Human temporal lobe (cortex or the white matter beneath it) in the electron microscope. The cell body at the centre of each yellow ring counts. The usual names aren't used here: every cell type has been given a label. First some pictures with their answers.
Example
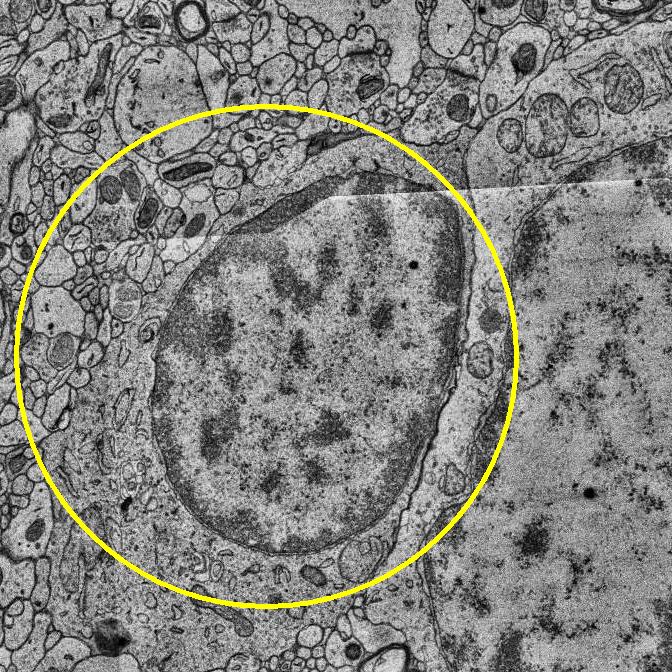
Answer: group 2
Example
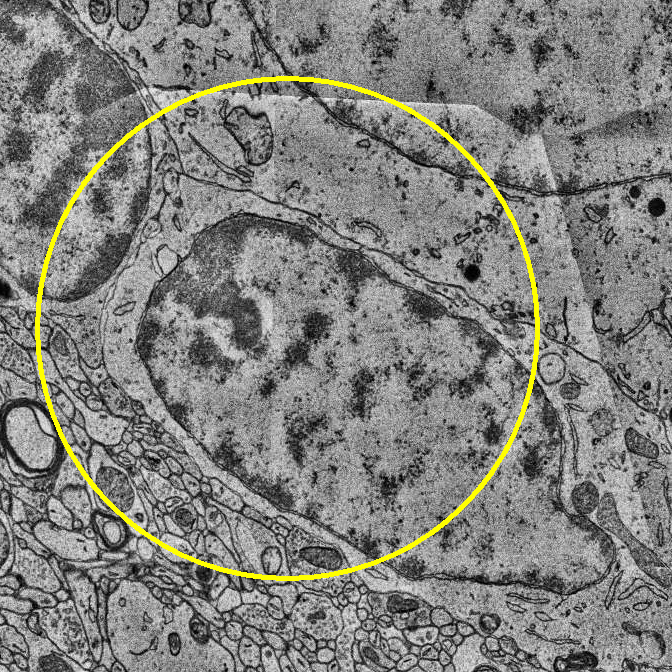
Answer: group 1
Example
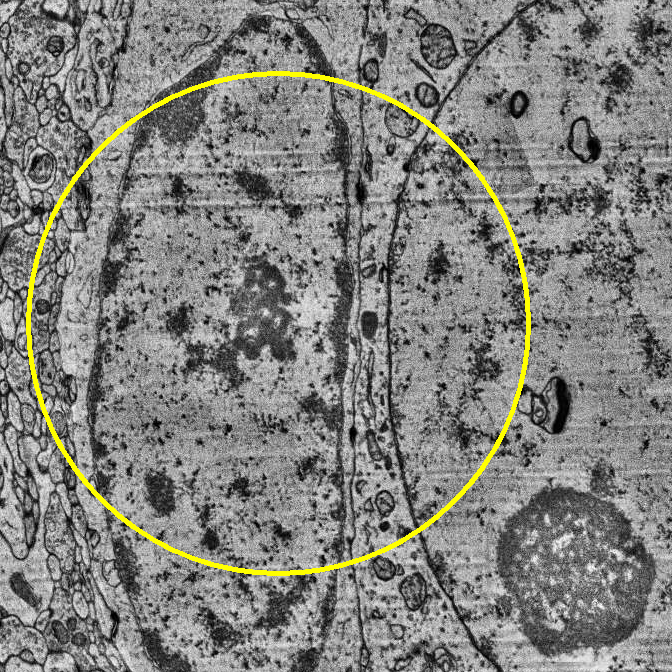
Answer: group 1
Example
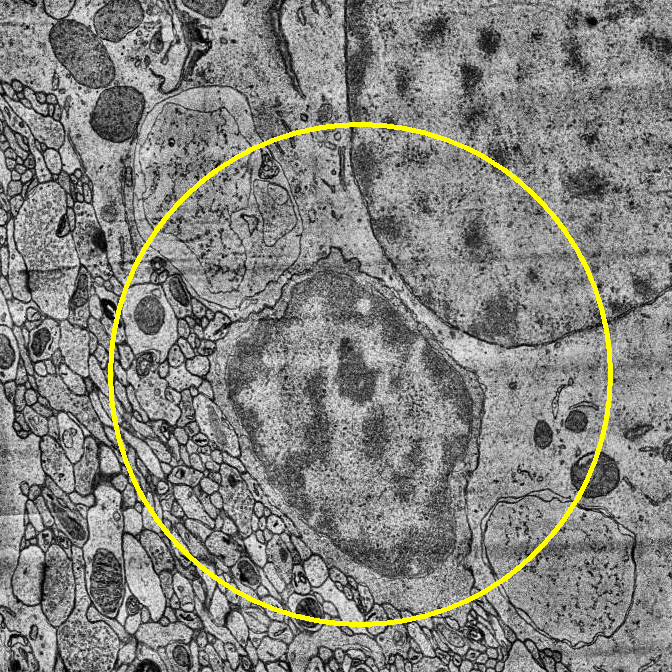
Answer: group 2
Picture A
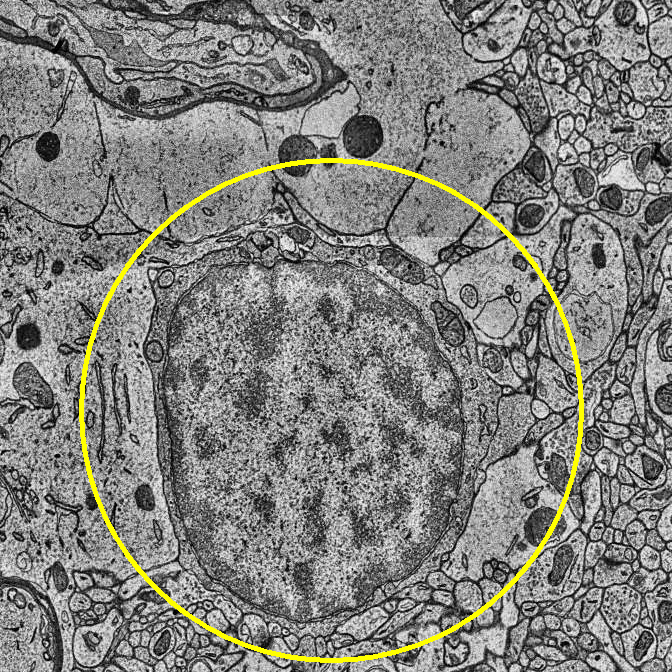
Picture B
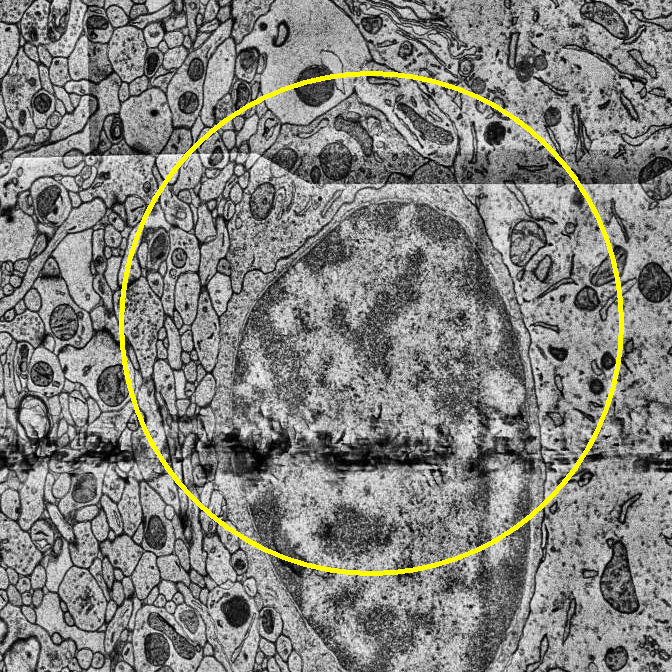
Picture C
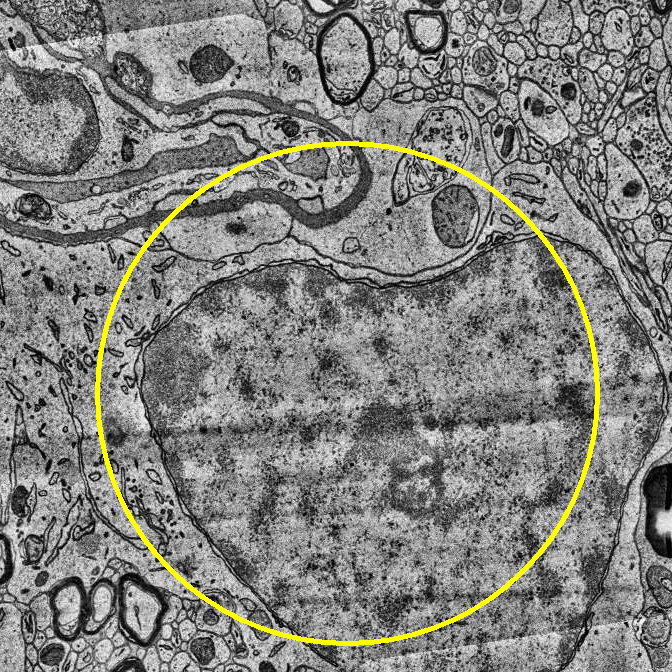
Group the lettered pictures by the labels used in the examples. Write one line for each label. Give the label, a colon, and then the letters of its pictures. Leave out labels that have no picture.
group 2: A, B
group 1: C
